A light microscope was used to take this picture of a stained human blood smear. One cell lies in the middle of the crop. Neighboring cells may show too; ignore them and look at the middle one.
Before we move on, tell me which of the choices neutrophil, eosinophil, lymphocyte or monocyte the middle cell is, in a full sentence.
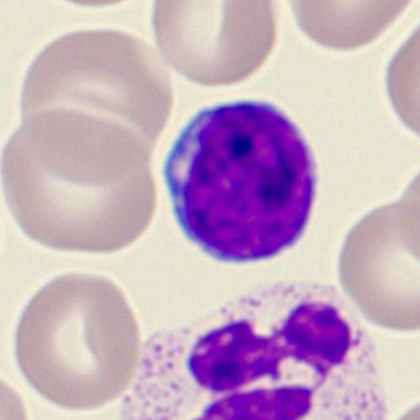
At the center of the crop sits a lymphocyte.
